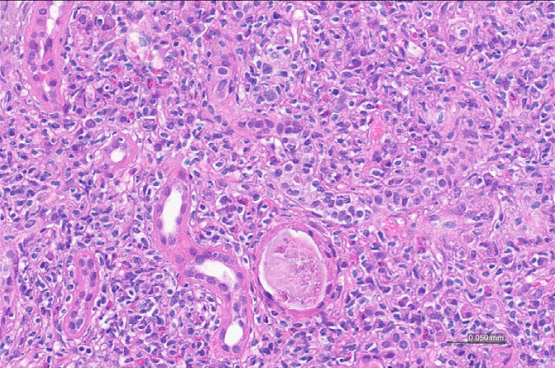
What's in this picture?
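This is renal tissue in which the space between the tubules is crowded by a dense inflammatory infiltrate. Most of the infiltrating cells are plasma cells, with round, eccentric nuclei and ample pink-purple cytoplasm; among them lie smaller mononuclear cells with dark round nuclei, and a few cells with bright pink granular cytoplasm suggest eosinophils. The tubules are few, small and pushed apart, lined by pink epithelium, and a round profile with pale pink contents sits in the lower middle. Thin pink strands of connective tissue run between the cells, so that the normal close packing of tubules is lost.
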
